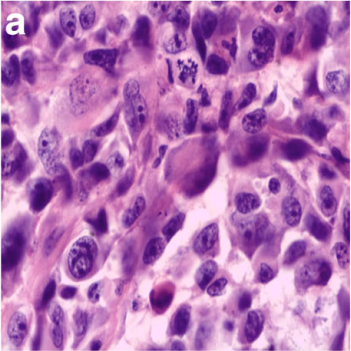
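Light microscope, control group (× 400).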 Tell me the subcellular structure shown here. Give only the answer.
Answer: Prominent nucleoli.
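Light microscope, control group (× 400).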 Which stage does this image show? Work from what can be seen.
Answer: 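A cell near the top centre shows condensed, clumped dark chromosomes instead of a nucleus with a membrane.
Mitoses.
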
